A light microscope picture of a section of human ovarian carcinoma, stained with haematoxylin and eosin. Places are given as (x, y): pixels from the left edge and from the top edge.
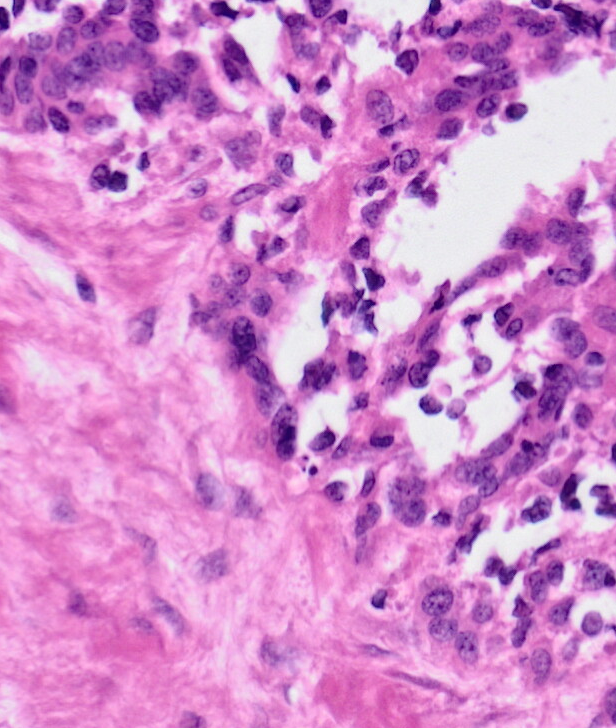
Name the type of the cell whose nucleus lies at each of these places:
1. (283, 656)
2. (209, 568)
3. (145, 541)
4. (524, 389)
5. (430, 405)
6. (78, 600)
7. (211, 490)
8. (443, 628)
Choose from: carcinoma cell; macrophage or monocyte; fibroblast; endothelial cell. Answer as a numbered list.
1. fibroblast
2. fibroblast
3. fibroblast
4. carcinoma cell
5. carcinoma cell
6. fibroblast
7. fibroblast
8. carcinoma cell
